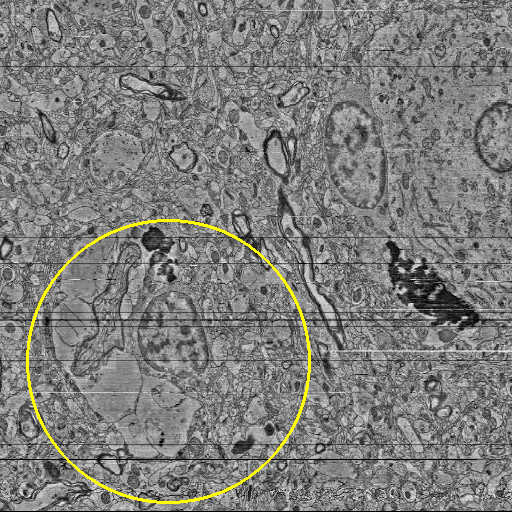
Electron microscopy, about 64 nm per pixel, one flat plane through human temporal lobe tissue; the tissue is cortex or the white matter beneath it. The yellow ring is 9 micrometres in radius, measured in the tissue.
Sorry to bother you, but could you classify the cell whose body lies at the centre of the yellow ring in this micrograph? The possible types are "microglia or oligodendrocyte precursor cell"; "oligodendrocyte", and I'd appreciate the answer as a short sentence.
The ringed cell body is that of an oligodendrocyte.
